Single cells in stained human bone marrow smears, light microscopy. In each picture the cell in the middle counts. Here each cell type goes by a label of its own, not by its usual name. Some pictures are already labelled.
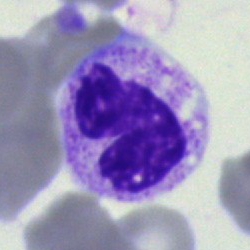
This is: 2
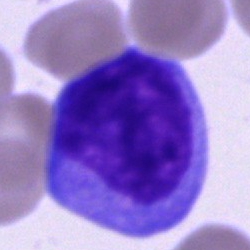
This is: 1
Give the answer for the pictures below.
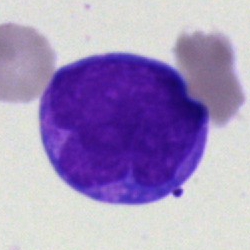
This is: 1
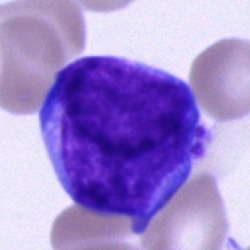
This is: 1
